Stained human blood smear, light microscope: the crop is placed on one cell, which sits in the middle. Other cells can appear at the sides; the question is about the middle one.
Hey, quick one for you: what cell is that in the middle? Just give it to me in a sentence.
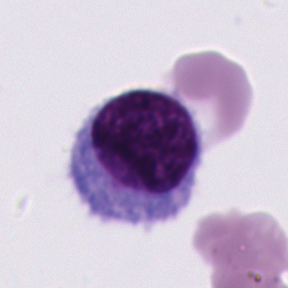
In the central position of this crop, the cell is a hairy cell.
